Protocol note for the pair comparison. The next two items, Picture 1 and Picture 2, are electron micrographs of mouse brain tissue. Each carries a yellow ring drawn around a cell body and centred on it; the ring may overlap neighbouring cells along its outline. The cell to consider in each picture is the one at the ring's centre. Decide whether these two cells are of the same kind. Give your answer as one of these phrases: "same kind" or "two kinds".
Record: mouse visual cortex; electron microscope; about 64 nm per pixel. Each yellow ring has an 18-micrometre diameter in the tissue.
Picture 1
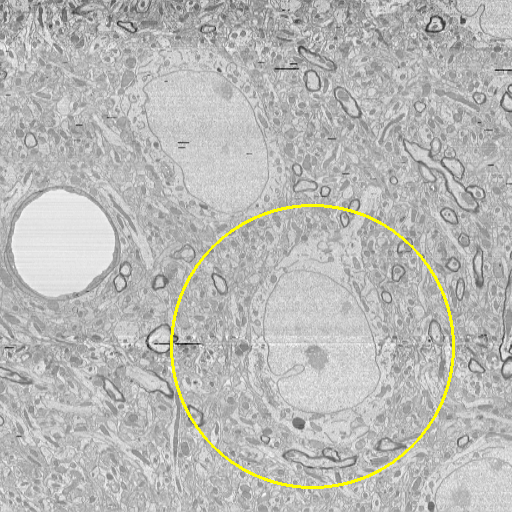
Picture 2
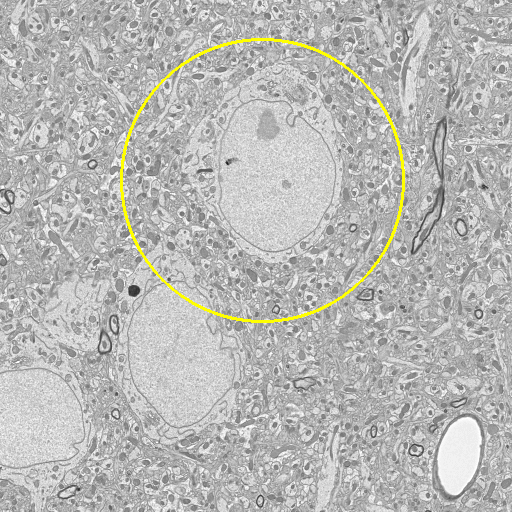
same kind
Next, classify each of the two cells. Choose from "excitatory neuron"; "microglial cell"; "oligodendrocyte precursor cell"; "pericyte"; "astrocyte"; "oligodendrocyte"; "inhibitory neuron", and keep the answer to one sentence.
The second cell is an excitatory neuron, just as the first is.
